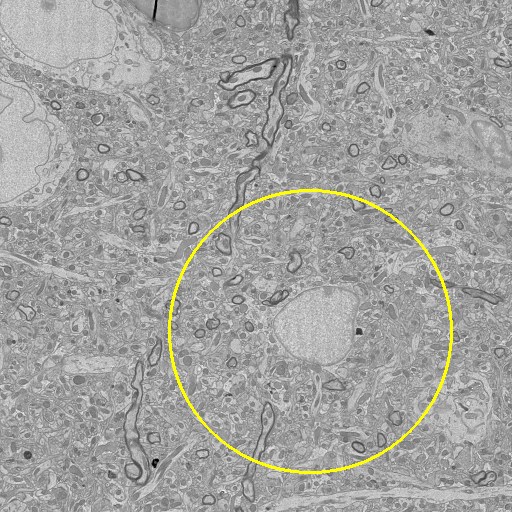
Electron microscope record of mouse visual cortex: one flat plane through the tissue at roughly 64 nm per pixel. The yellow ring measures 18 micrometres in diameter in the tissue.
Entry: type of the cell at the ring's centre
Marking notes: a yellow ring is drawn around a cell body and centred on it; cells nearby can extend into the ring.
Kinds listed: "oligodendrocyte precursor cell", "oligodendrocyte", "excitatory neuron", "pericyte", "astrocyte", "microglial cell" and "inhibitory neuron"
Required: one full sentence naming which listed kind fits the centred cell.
My entry names an astrocyte as the cell whose body the yellow ring centres on.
